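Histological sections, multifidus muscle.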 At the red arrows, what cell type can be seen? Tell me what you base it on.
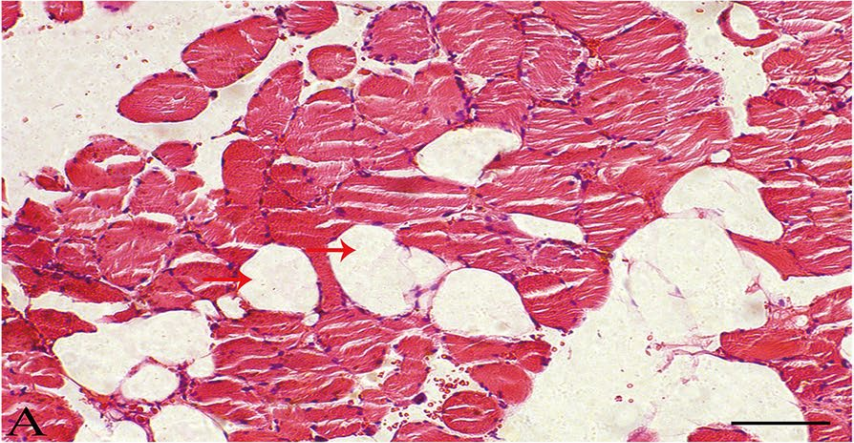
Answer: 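Adipocytes. Large, round to polygonal cells that appear empty and unstained. Thin membranes outline these cells. They lie between red-stained muscle fibres.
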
